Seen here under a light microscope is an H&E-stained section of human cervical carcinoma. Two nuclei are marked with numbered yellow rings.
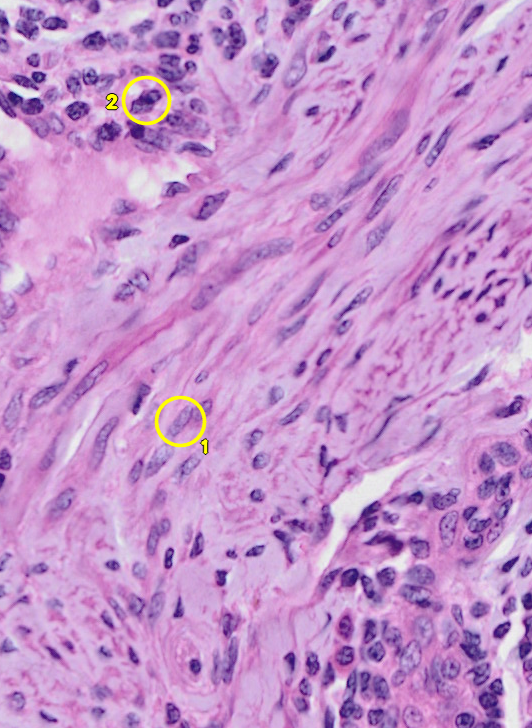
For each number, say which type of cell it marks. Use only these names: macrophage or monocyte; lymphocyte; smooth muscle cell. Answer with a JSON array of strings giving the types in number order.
["smooth muscle cell", "lymphocyte"]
